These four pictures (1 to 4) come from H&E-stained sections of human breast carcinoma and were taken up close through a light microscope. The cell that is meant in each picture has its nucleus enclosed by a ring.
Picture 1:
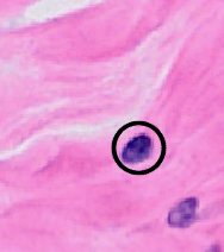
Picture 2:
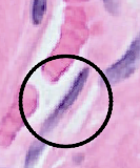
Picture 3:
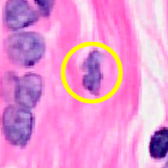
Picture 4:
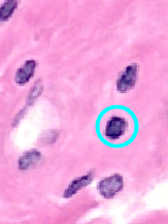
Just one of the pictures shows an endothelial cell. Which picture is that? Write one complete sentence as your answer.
It is picture 2 that shows the endothelial cell.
